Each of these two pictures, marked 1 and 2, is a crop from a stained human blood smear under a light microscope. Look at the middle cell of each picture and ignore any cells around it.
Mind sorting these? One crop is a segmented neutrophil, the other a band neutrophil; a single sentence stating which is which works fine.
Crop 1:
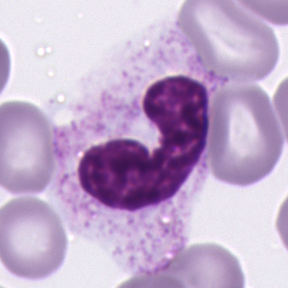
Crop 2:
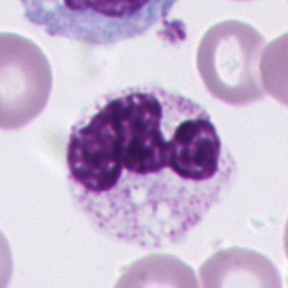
Respectively, crops 1 and 2 show a band neutrophil and a segmented neutrophil.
